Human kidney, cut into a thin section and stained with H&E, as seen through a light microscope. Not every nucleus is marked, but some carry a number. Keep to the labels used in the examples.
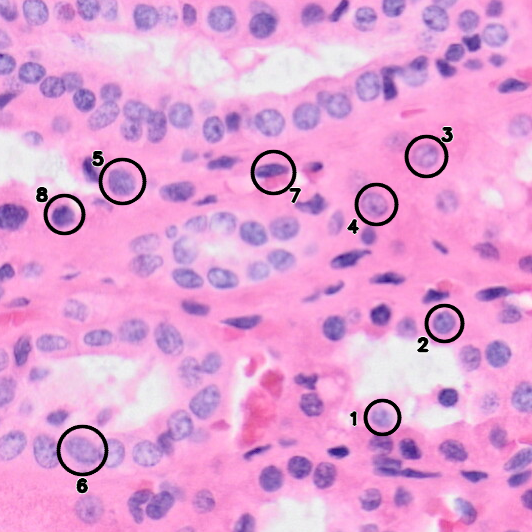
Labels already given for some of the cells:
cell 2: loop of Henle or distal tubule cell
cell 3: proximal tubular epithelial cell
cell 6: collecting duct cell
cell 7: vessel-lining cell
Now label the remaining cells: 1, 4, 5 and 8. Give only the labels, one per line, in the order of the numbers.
loop of Henle or distal tubule cell
proximal tubular epithelial cell
loop of Henle or distal tubule cell
loop of Henle or distal tubule cell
